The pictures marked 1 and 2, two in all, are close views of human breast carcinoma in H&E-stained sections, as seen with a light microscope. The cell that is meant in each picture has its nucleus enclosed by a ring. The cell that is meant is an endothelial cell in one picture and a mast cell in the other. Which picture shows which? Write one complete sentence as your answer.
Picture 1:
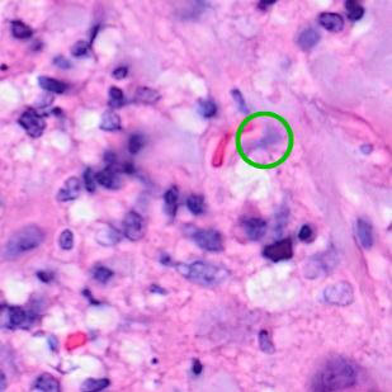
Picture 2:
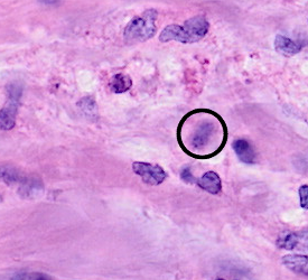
Picture 2 shows a mast cell, while picture 1 shows an endothelial cell.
